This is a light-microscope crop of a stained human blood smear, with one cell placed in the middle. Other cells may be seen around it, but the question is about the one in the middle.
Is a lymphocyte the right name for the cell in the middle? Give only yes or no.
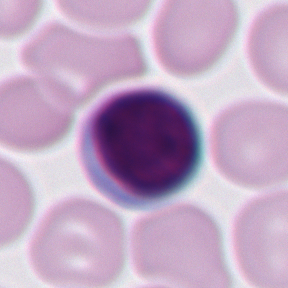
yes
